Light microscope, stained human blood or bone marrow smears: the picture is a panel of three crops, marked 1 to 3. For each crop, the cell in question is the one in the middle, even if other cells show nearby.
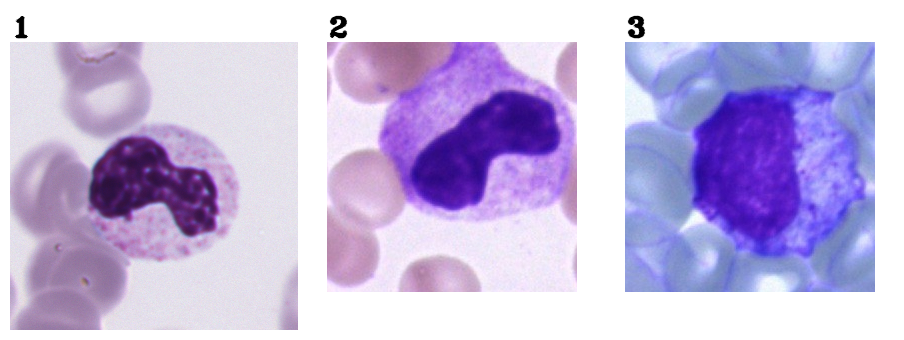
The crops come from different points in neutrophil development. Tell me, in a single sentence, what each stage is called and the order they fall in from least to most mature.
Once sorted from least to most mature, the sequence is crop 3 (a promyelocyte), crop 2 (a band neutrophil) and crop 1 (a segmented neutrophil).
